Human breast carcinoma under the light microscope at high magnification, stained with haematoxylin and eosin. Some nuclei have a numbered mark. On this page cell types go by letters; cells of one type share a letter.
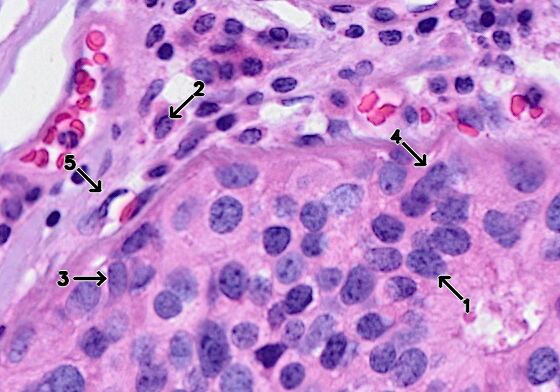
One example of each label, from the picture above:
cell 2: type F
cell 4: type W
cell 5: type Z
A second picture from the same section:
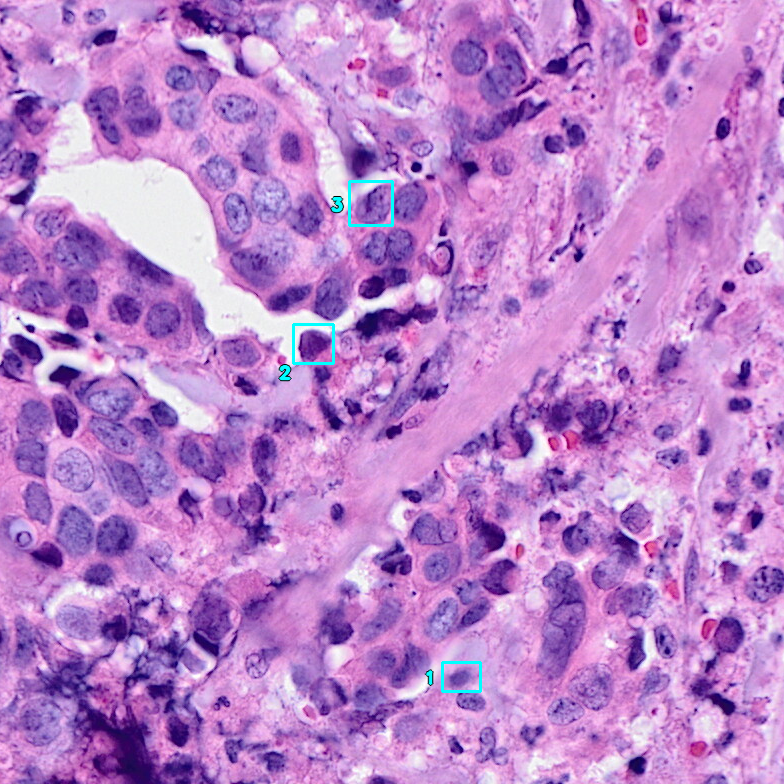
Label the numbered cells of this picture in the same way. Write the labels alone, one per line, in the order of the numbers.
type F
type W
type W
